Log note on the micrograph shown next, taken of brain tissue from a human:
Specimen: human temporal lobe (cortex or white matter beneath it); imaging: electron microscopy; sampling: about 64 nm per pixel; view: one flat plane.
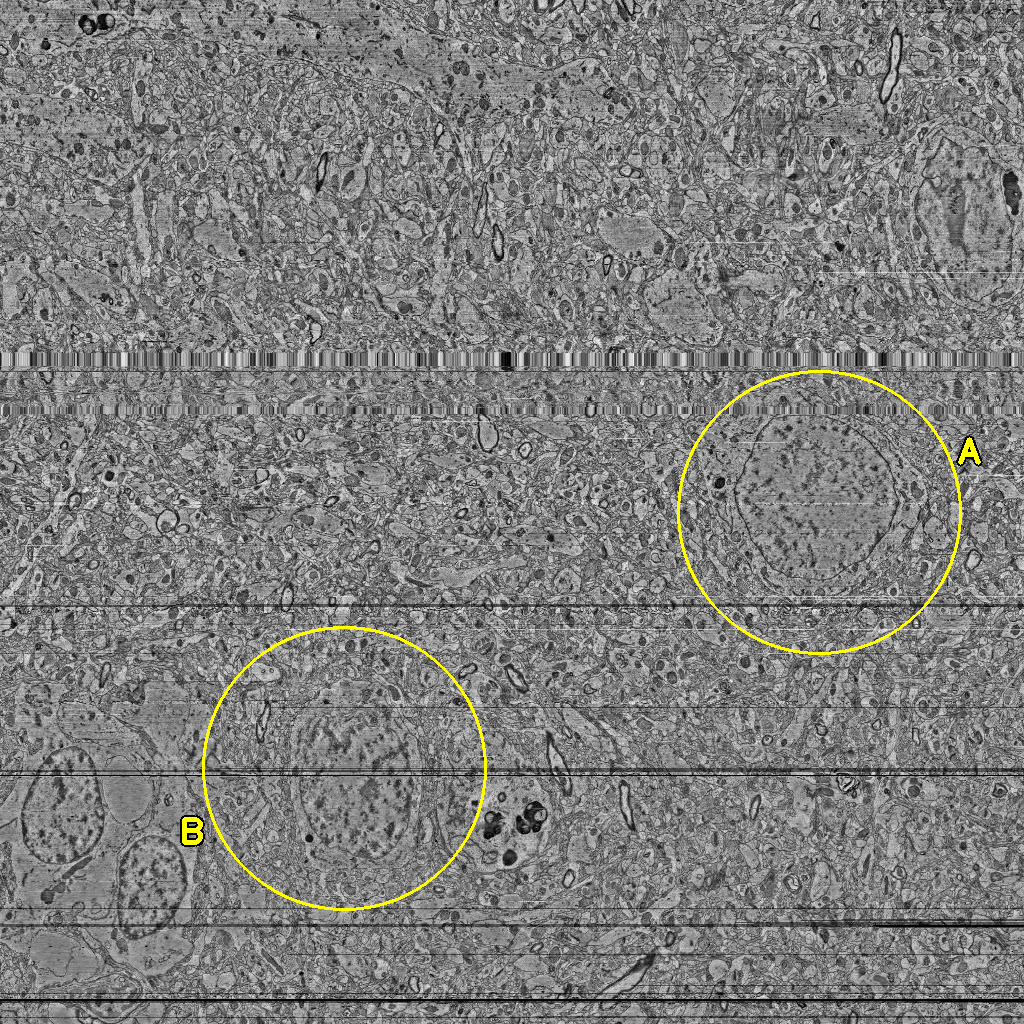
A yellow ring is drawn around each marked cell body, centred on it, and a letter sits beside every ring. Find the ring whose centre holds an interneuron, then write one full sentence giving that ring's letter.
In the picture, the cell asked for sits at the centre of ring B.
